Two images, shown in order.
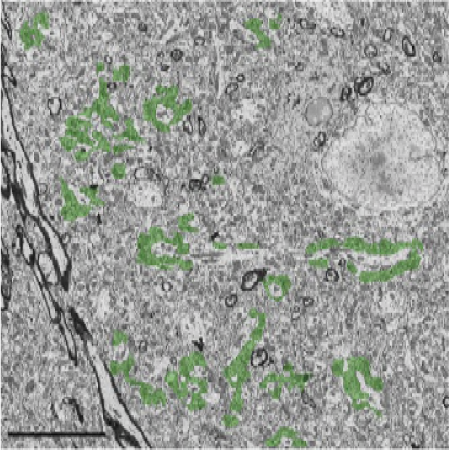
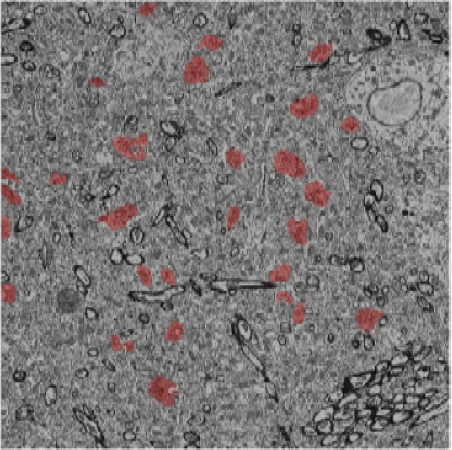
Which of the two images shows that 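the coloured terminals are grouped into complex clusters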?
the first image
